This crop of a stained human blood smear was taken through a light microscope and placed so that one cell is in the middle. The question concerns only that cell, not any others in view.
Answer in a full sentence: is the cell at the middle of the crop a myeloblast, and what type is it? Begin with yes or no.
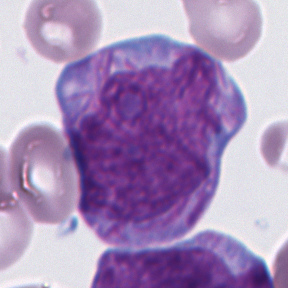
No, rather than being a myeloblast, the central cell is an atypical promyelocyte.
